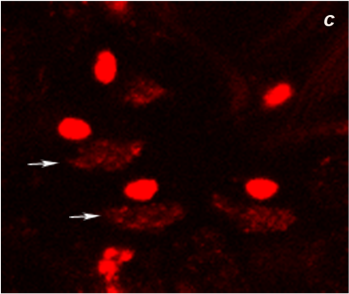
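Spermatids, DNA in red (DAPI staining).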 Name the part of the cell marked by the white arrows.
Nebenkern.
